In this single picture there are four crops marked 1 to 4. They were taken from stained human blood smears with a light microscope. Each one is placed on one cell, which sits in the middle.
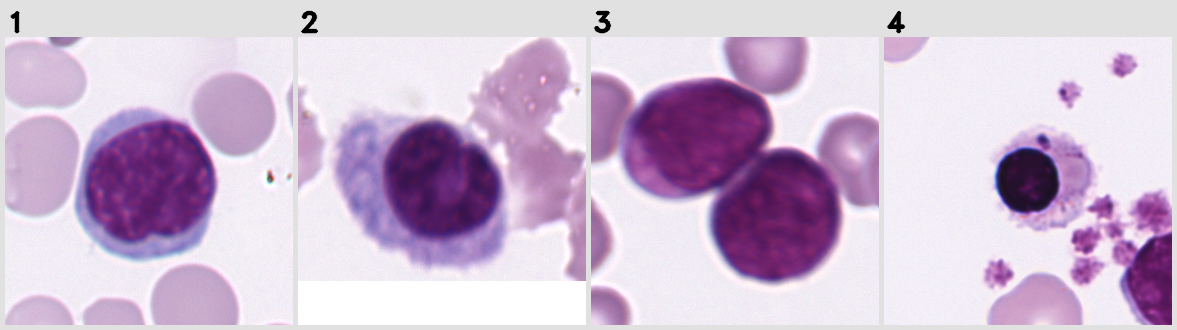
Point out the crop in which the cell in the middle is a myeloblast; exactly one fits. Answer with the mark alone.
3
